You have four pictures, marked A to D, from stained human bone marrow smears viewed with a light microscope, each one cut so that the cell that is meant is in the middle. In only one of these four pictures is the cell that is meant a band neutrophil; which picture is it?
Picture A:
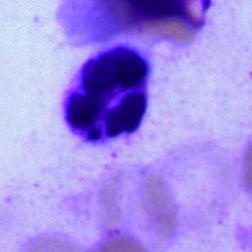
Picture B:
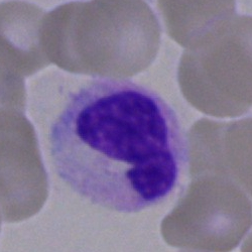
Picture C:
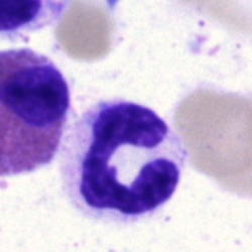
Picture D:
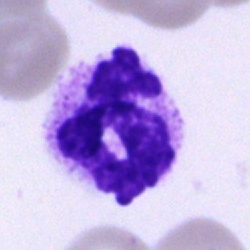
B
